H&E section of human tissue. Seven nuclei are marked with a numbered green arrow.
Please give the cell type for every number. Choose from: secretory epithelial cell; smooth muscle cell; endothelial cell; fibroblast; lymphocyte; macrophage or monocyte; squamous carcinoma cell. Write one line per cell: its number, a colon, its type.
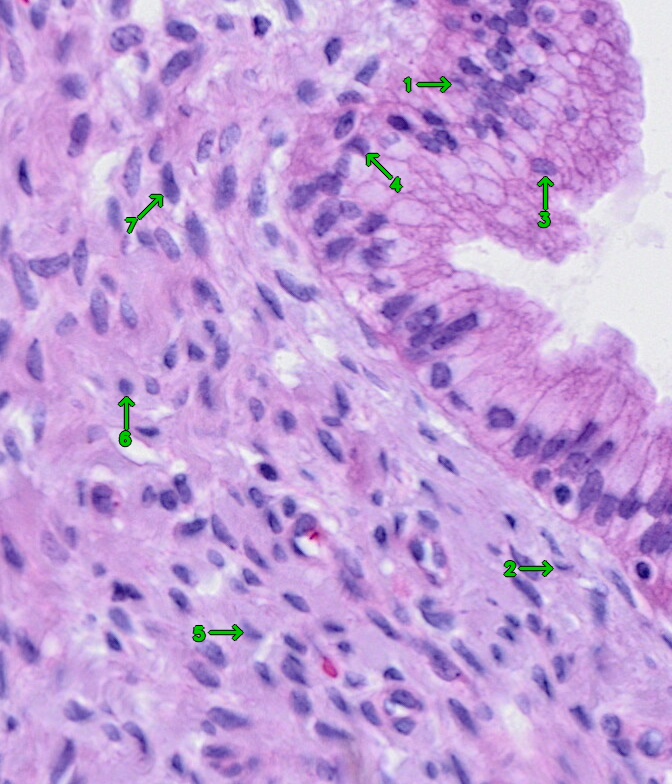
1: secretory epithelial cell
2: fibroblast
3: secretory epithelial cell
4: secretory epithelial cell
5: fibroblast
6: fibroblast
7: fibroblast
